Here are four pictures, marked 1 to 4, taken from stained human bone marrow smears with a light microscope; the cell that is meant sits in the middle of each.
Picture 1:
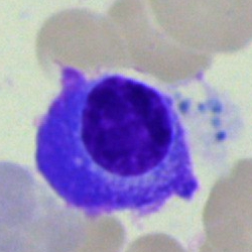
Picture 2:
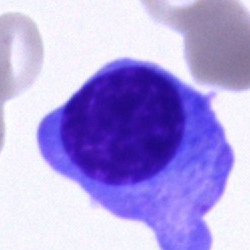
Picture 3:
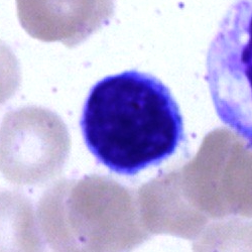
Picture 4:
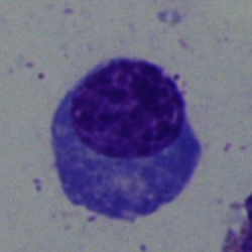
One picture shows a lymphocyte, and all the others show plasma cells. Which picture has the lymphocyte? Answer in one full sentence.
Picture 3 shows the lymphocyte.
